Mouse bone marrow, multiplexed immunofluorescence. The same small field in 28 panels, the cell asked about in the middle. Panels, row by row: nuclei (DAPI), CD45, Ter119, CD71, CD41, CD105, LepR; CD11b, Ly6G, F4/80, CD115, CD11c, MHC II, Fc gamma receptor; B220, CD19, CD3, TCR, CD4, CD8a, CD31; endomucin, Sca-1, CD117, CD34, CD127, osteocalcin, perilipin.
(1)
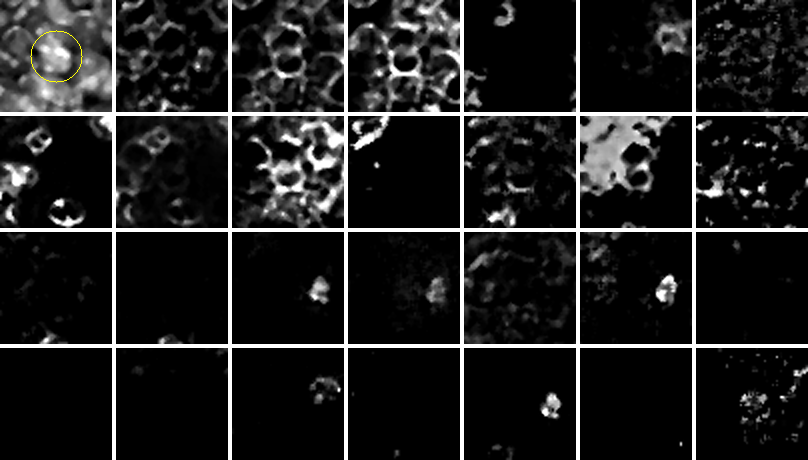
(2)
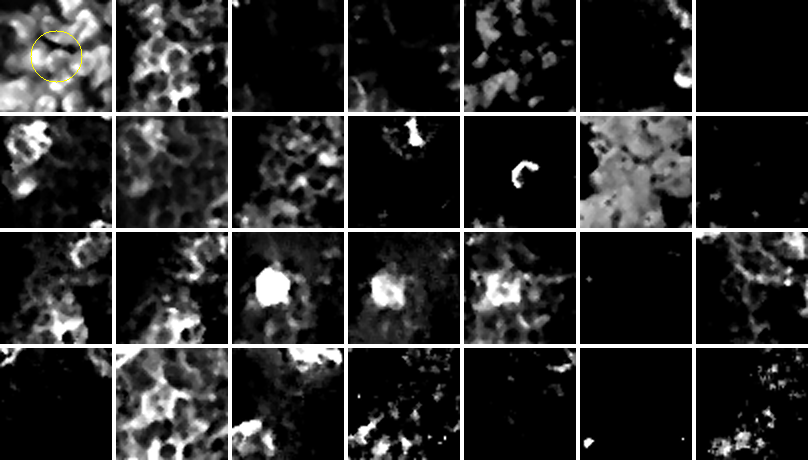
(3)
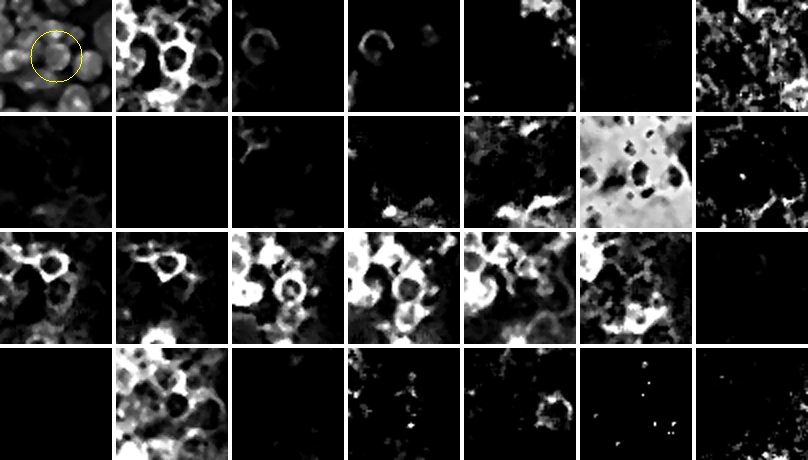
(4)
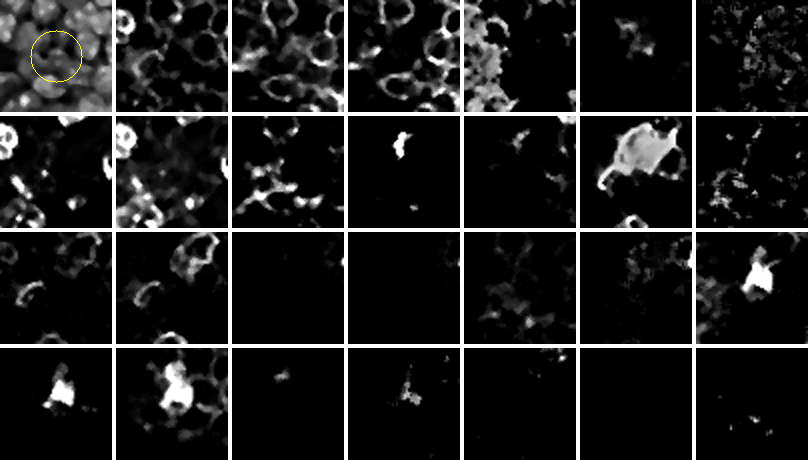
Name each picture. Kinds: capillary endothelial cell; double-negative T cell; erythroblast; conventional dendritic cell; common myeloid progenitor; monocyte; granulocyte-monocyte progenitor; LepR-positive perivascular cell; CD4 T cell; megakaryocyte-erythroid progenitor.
Picture 1: erythroblast
Picture 2: conventional dendritic cell
Picture 3: double-negative T cell
Picture 4: capillary endothelial cell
